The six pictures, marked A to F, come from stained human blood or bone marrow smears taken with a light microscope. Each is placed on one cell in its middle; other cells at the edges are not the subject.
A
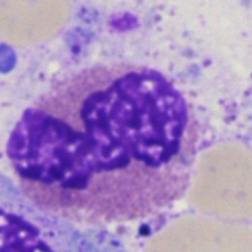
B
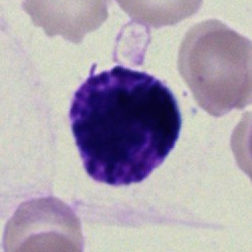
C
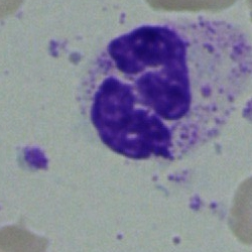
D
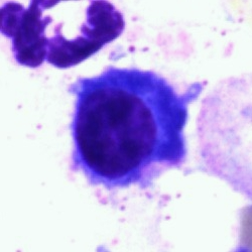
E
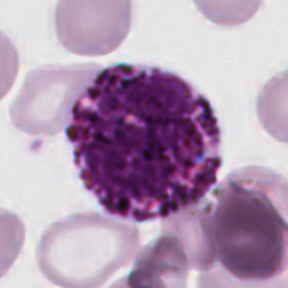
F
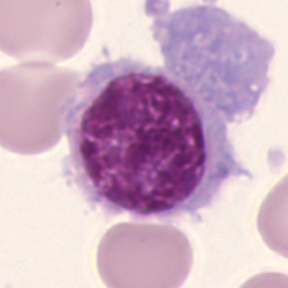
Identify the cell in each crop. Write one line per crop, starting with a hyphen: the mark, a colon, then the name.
- A: eosinophil
- B: basophil
- C: basophil
- D: plasma cell
- E: basophil
- F: plasma cell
